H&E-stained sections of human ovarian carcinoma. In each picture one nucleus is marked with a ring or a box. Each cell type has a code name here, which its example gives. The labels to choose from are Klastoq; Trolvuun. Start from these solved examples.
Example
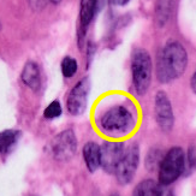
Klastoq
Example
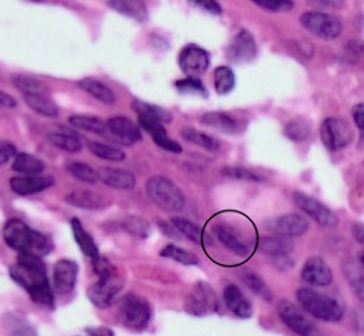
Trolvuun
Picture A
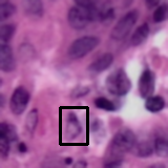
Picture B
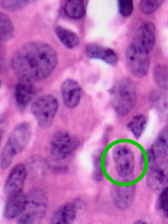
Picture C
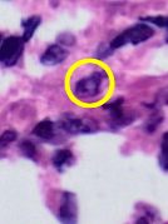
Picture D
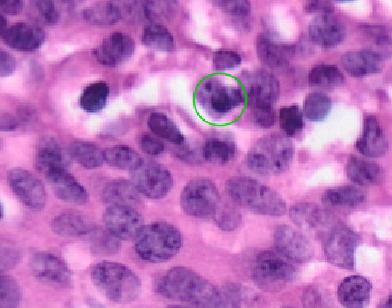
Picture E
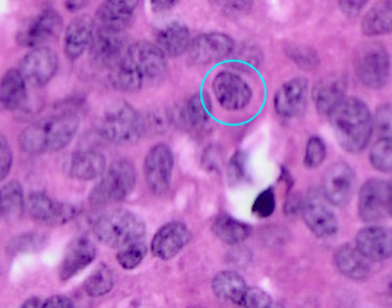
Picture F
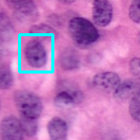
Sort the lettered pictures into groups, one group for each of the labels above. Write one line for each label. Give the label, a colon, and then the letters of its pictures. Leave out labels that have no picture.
Klastoq: A, B, C, D, E, F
